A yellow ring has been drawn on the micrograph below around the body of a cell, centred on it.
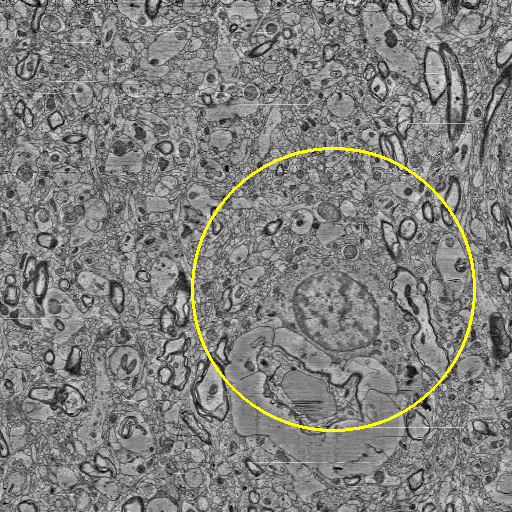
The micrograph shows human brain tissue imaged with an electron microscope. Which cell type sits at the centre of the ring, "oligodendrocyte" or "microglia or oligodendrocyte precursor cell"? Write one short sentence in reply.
The cell sitting at the centre of the ring is an oligodendrocyte.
